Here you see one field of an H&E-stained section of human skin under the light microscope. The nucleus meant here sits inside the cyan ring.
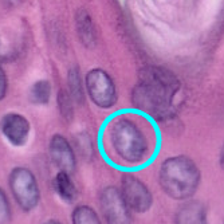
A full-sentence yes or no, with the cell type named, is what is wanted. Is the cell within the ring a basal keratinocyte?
No, the cell within the ring is a suprabasal keratinocyte and should not be read as a basal keratinocyte.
